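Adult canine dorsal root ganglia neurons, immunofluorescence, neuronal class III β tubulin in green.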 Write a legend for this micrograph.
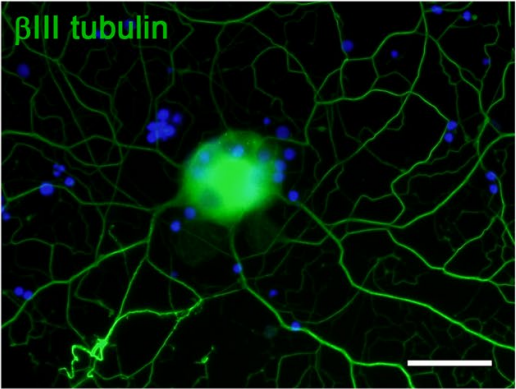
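The processes are smooth and of fairly even calibre, some thicker, some very fine; at the lower left one curls into a tangled loop. Small round blue nuclei are scattered across the field, several clustered against the edge of the cell body and others lying singly or in small groups among the processes.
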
